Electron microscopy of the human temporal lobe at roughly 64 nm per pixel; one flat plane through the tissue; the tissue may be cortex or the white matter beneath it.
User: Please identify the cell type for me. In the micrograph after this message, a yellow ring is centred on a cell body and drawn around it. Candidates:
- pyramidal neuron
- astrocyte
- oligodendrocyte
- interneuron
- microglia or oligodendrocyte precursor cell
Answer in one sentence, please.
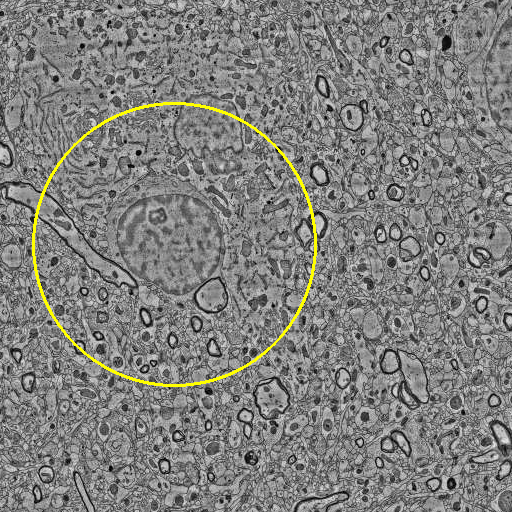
The ring is drawn around the cell body of an oligodendrocyte.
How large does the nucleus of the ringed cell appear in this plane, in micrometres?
The nucleus comes to roughly 7 micrometres across in this plane.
